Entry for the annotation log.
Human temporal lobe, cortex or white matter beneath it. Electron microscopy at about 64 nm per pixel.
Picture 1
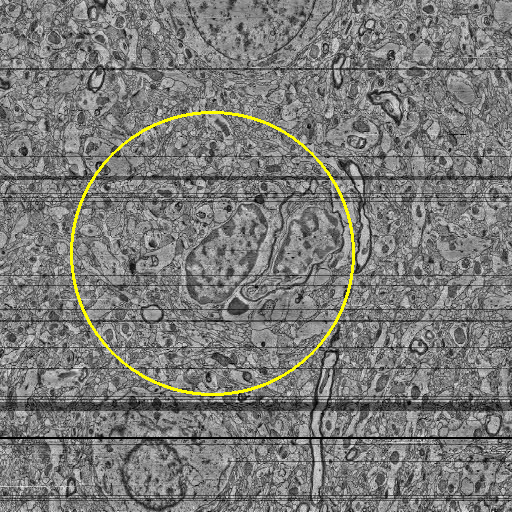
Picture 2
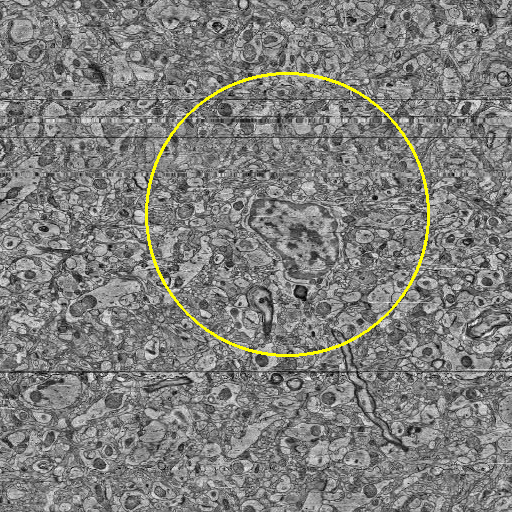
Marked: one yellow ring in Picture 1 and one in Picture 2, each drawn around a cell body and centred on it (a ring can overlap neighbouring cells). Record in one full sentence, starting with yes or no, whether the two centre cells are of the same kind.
Yes, both cells are of the same kind.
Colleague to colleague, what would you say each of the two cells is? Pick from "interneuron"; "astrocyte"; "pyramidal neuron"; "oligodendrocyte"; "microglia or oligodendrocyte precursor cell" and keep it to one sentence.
Each of the two rings surrounds a microglial cell or oligodendrocyte precursor cell.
